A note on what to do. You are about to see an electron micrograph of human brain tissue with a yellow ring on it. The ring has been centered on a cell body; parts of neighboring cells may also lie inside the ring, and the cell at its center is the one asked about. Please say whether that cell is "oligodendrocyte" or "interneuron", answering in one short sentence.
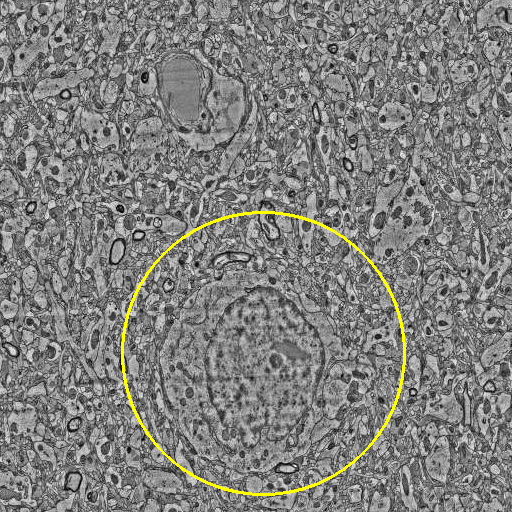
The yellow ring sits on an interneuron.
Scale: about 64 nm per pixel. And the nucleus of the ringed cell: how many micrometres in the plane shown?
The nucleus works out at approximately 10 by 8 micrometres in this plane.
